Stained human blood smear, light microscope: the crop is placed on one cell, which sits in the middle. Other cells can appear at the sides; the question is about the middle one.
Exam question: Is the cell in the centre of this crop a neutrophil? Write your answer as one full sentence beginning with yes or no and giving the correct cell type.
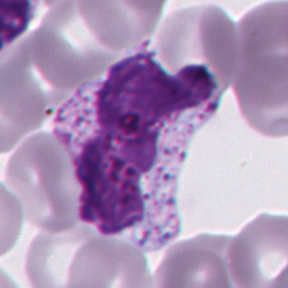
No, the cell under consideration is a basophil instead of a neutrophil.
